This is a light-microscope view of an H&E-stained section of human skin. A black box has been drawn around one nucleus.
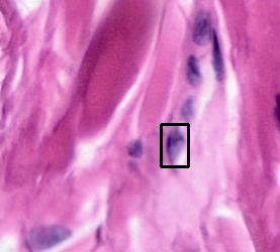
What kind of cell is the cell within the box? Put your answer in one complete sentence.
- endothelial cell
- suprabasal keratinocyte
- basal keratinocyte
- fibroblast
The cell type of the cell within the box is that of an endothelial cell.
